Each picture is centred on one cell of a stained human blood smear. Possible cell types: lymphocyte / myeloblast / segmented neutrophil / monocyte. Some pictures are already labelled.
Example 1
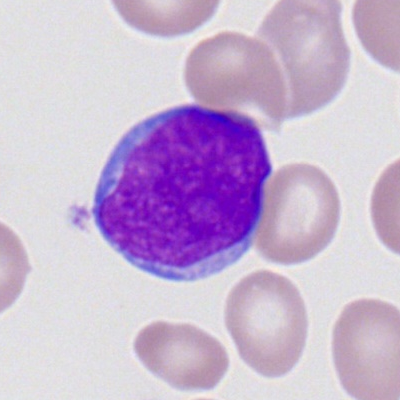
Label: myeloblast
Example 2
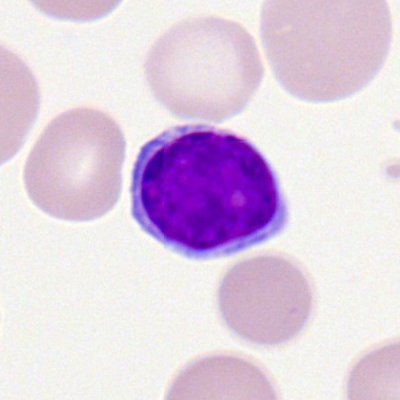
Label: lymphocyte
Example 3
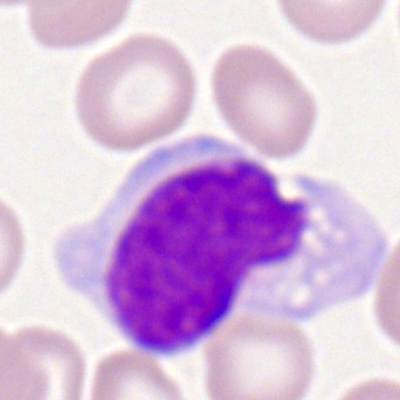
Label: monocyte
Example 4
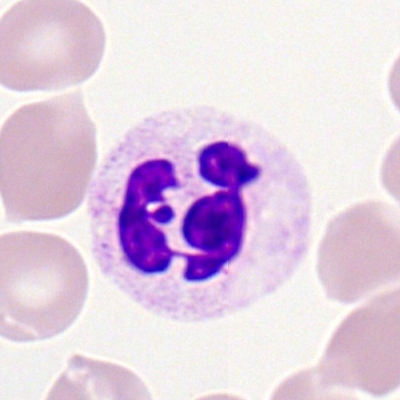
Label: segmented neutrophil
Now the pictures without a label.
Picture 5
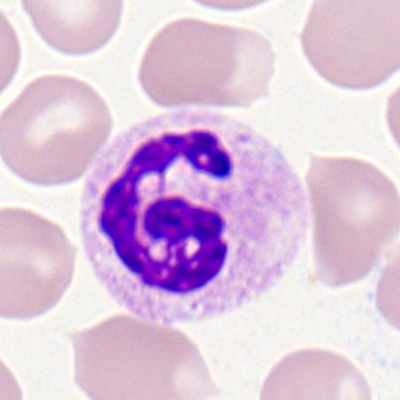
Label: segmented neutrophil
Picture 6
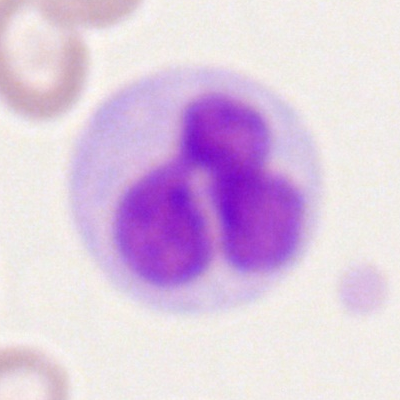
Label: monocyte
